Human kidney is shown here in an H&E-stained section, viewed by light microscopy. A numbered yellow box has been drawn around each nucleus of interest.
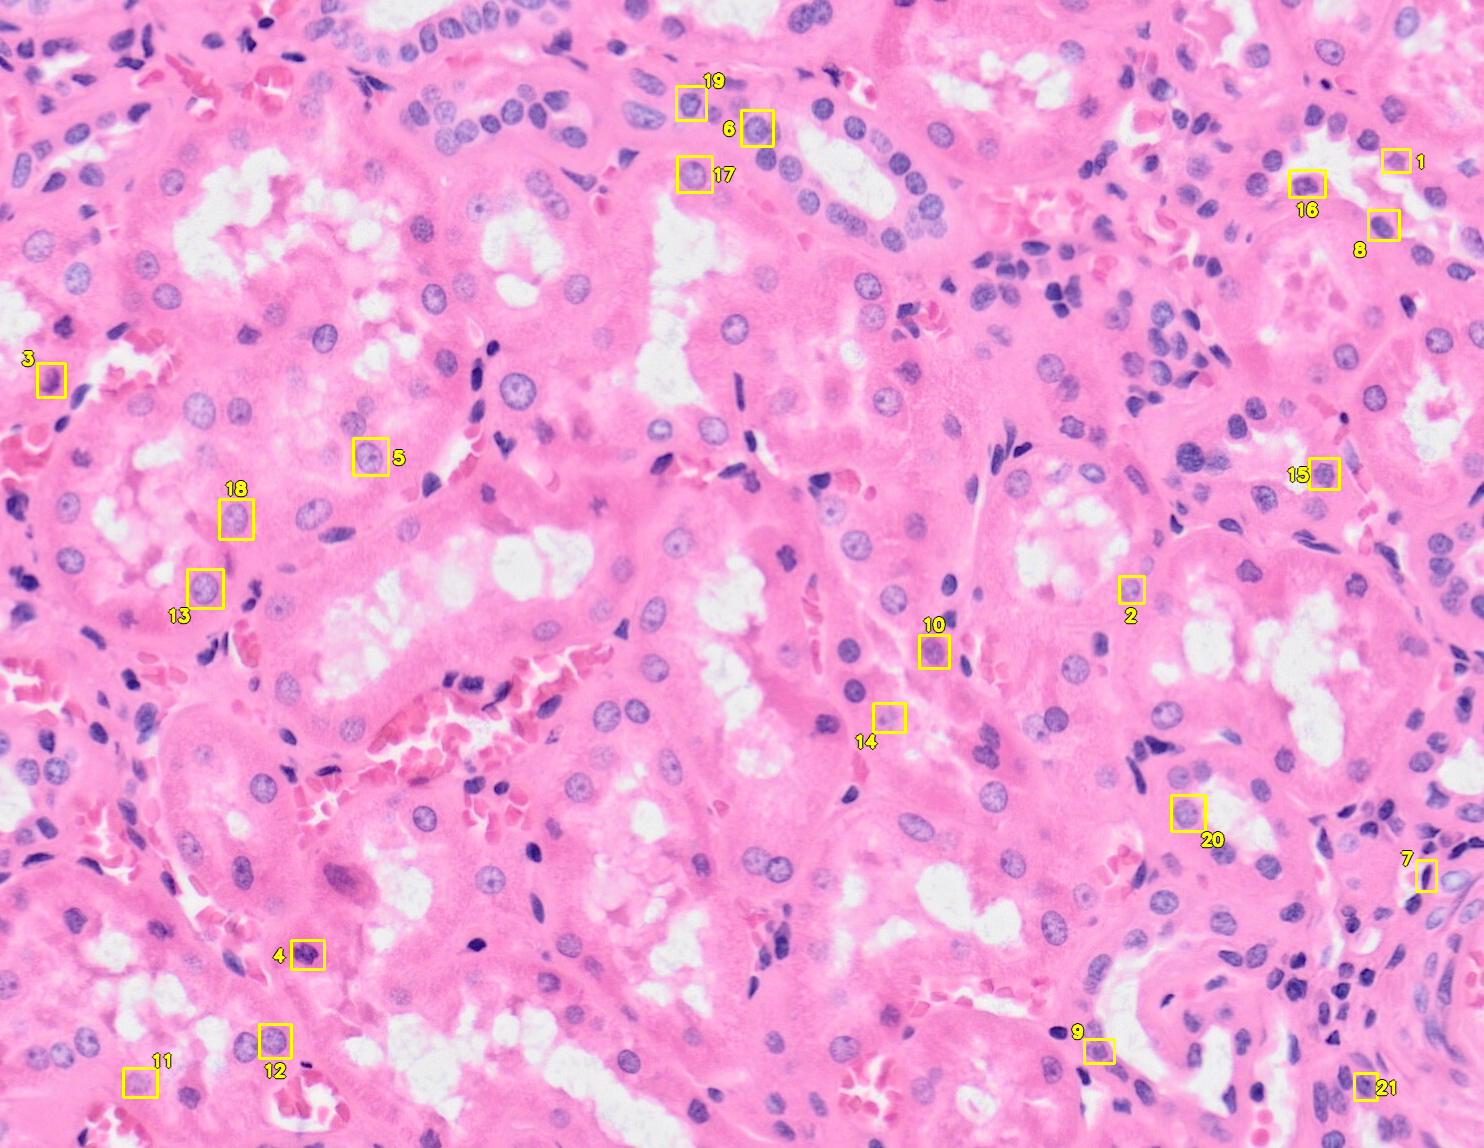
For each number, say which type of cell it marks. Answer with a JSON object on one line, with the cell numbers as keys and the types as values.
{"1": "loop of Henle or distal tubule cell", "2": "proximal tubule cell", "3": "proximal tubule cell", "4": "proximal tubule cell", "5": "proximal tubule cell", "6": "collecting duct cell", "7": "endothelial cell", "8": "loop of Henle or distal tubule cell", "9": "collecting duct cell", "10": "proximal tubule cell", "11": "proximal tubule cell", "12": "proximal tubule cell", "13": "proximal tubule cell", "14": "proximal tubule cell", "15": "loop of Henle or distal tubule cell", "16": "loop of Henle or distal tubule cell", "17": "proximal tubule cell", "18": "proximal tubule cell", "19": "collecting duct cell", "20": "loop of Henle or distal tubule cell", "21": "collecting duct cell"}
